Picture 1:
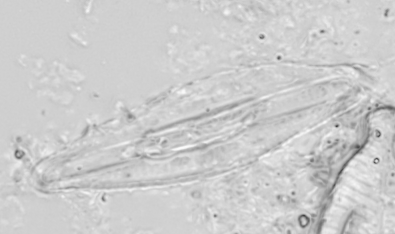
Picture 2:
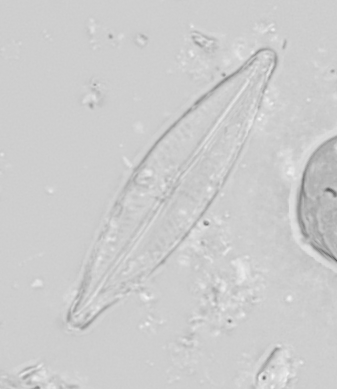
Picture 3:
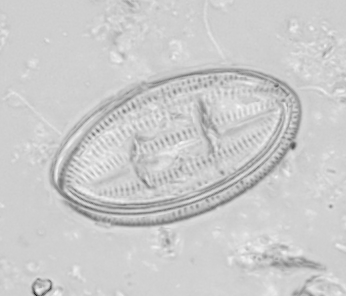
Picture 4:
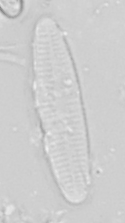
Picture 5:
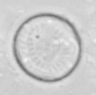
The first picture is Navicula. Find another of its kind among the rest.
Picture 2.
